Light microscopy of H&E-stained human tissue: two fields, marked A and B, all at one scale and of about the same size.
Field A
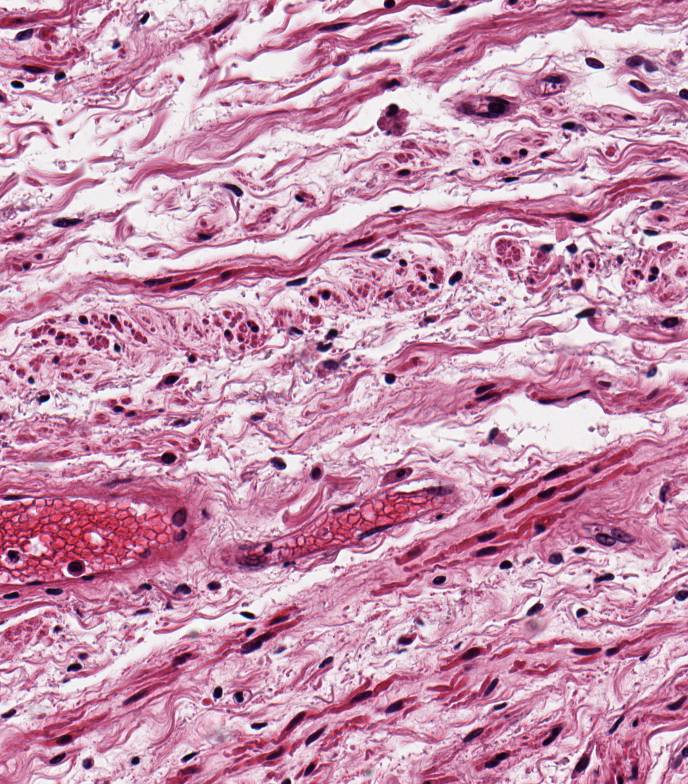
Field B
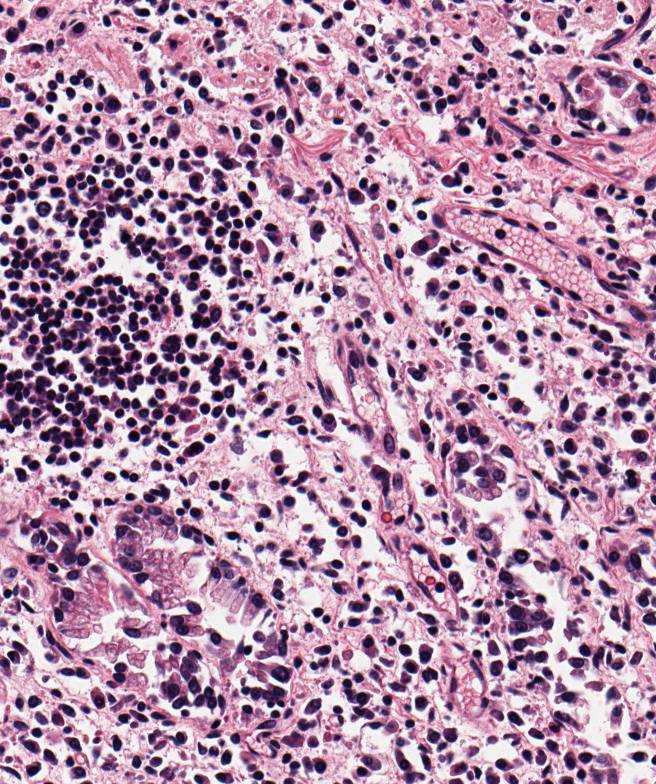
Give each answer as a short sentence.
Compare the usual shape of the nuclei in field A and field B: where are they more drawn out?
The nuclei are more elongated in field A.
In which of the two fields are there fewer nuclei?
It is field A that has fewer nuclei in it.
